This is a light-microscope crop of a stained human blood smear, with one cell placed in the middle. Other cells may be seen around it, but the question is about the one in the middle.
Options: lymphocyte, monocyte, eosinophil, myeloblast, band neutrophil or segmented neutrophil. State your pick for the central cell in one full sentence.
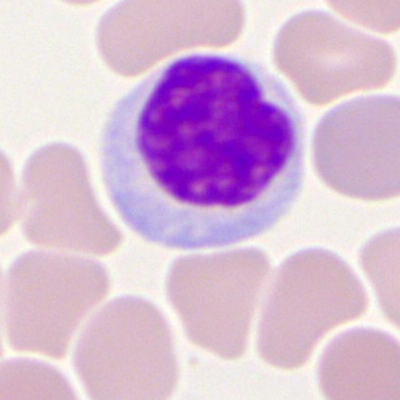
The cell that lies at the centre of the crop is a lymphocyte.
